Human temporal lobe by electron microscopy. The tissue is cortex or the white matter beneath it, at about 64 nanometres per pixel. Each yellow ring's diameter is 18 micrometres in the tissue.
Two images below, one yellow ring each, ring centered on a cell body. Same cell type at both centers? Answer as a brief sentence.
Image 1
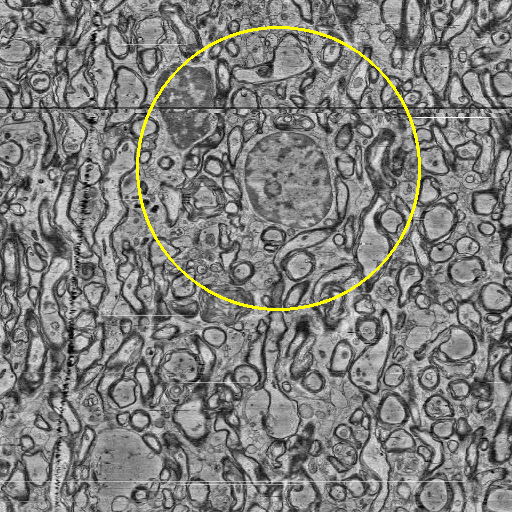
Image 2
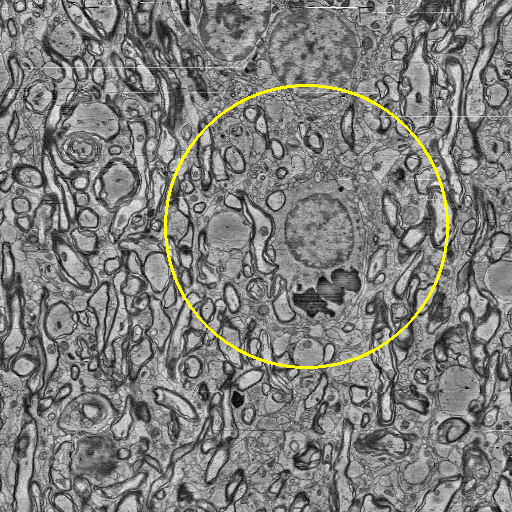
No, the cells are of two separate types.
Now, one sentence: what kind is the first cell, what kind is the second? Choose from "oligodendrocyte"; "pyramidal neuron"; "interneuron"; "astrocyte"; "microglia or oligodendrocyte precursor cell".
The first picture has a microglial cell or oligodendrocyte precursor cell at its ring centre, and the second has an oligodendrocyte.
